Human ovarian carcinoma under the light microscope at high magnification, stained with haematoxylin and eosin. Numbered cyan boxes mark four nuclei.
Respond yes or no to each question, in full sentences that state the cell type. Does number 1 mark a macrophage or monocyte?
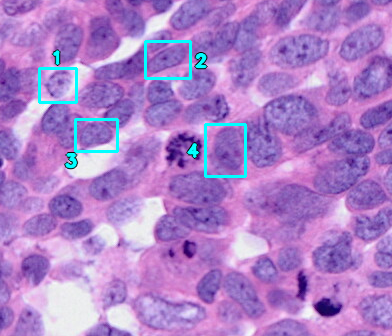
Yes, in the section, number 1 is a macrophage or monocyte.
